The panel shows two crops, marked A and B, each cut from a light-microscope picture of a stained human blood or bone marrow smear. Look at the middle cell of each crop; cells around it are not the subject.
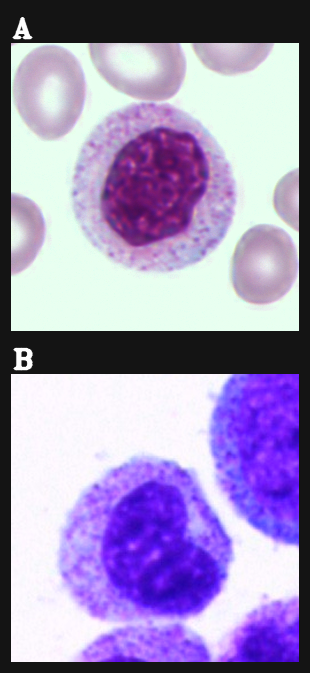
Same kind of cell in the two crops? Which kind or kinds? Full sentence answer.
Yes, both crops in the pair show metamyelocytes.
